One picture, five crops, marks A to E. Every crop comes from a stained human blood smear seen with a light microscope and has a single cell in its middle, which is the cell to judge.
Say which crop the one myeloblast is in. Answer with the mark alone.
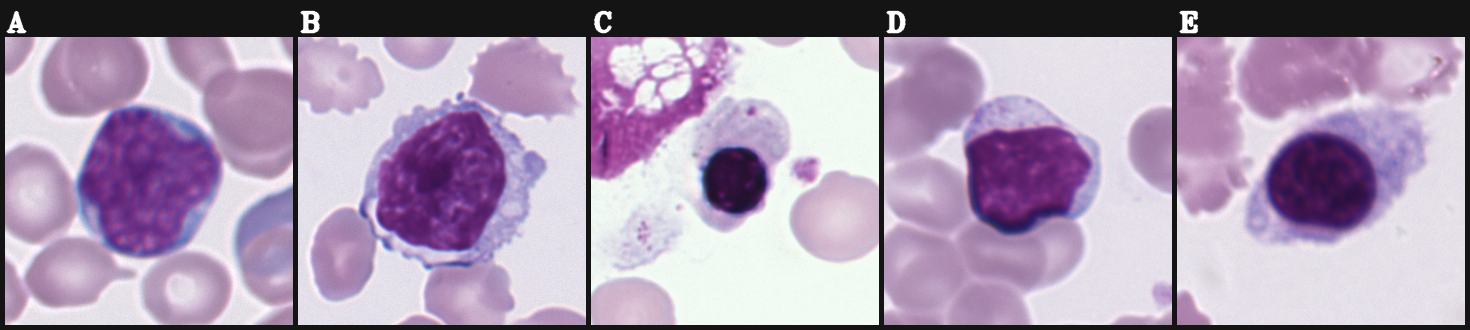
A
